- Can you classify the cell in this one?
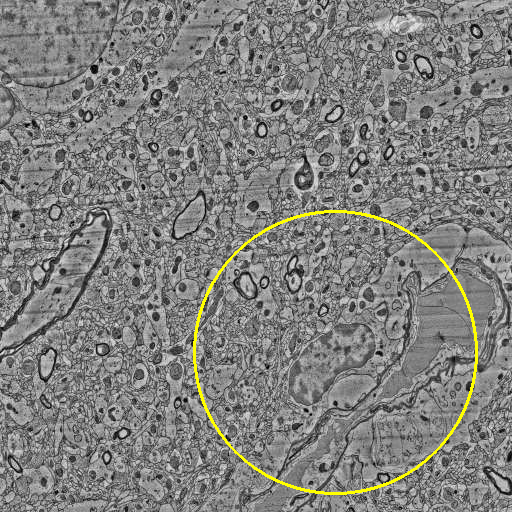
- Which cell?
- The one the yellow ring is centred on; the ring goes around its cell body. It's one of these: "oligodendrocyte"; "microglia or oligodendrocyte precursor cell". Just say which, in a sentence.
The cell body in the ring belongs to a microglial cell or oligodendrocyte precursor cell.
